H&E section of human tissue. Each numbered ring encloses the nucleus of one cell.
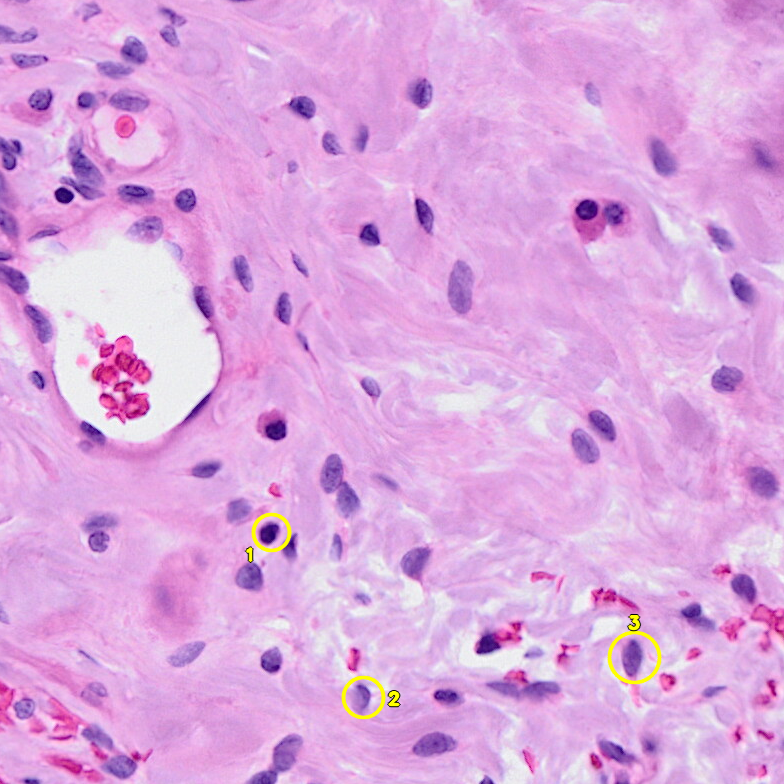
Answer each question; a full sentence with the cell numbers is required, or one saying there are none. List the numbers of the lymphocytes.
In short, cell 1 is a lymphocyte; the others are not.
